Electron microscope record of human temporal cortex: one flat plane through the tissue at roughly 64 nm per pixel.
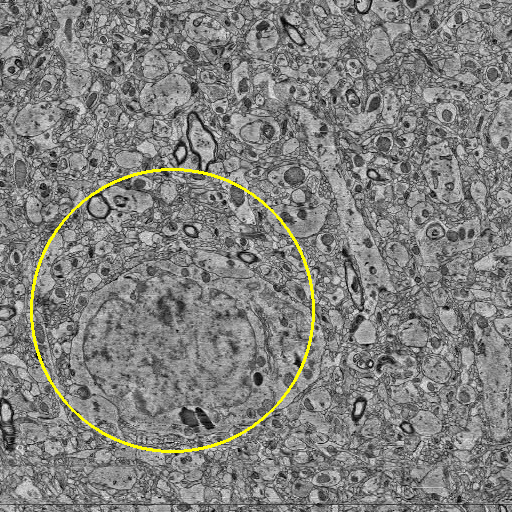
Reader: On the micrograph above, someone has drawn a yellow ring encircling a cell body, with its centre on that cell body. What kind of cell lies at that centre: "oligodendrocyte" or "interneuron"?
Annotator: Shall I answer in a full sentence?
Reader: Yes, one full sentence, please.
Here an interneuron sits at the centre of the yellow ring drawn on the micrograph.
